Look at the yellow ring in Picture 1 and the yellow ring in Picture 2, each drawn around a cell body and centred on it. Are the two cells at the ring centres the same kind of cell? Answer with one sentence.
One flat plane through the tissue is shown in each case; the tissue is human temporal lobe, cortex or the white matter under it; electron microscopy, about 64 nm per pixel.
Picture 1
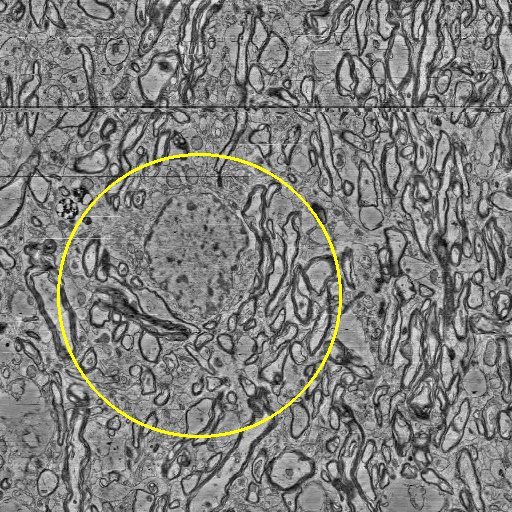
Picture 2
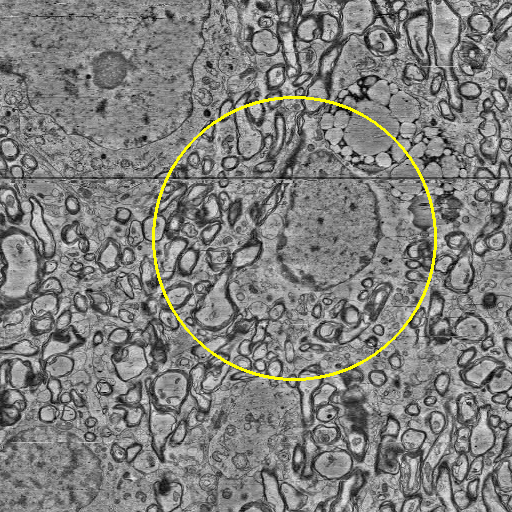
Yes, both are the same kind of cell.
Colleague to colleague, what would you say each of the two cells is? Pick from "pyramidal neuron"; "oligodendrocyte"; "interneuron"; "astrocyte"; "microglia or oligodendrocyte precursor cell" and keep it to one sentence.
Each one of the two ringed cells is an astrocyte.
